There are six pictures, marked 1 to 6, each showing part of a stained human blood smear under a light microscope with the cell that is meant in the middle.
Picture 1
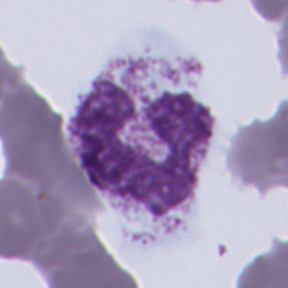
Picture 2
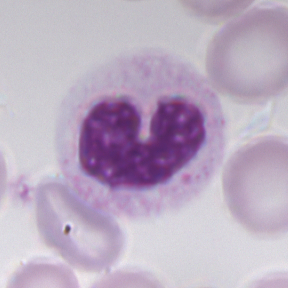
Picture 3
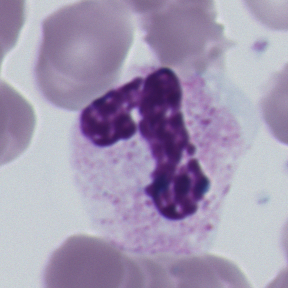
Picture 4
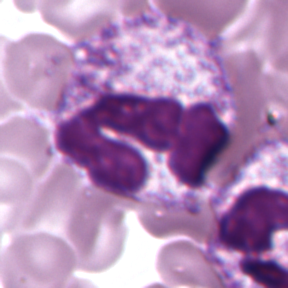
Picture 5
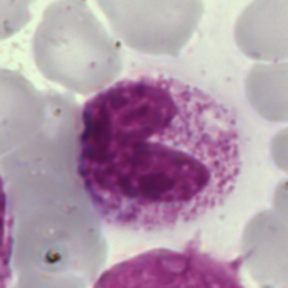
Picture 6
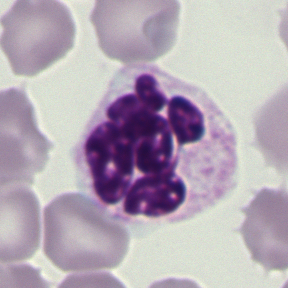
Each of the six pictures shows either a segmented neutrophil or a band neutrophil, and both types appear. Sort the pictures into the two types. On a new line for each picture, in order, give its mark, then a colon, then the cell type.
1: segmented neutrophil
2: band neutrophil
3: segmented neutrophil
4: segmented neutrophil
5: band neutrophil
6: segmented neutrophil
